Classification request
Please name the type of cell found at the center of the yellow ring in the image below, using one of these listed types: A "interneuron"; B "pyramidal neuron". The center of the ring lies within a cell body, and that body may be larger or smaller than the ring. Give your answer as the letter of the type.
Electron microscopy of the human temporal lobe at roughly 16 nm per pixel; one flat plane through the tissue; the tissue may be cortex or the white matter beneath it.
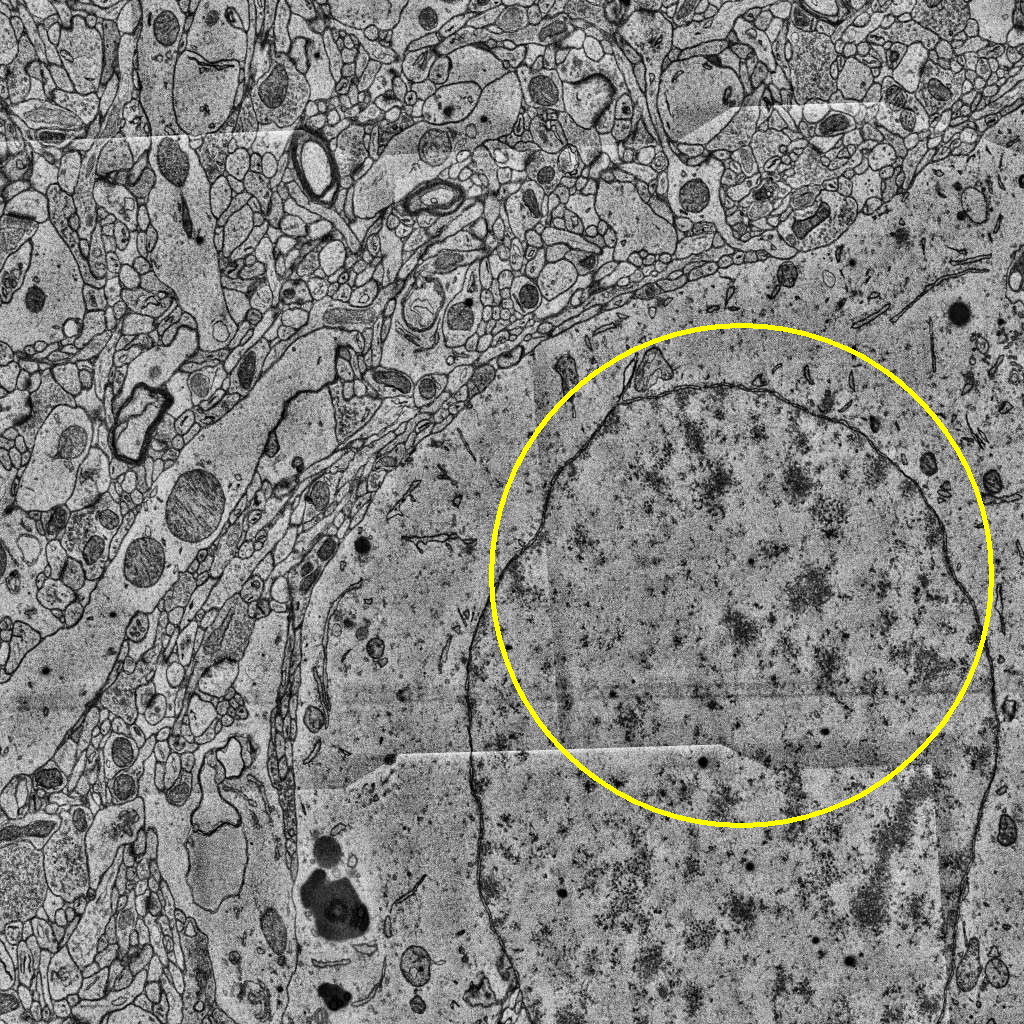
B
